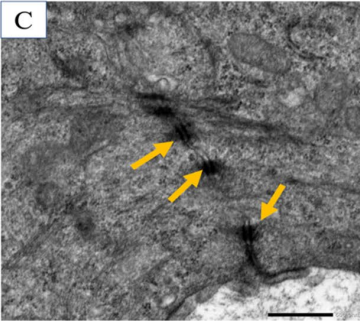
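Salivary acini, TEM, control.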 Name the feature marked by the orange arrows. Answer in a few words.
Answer: Cellular junctions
